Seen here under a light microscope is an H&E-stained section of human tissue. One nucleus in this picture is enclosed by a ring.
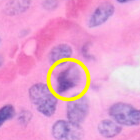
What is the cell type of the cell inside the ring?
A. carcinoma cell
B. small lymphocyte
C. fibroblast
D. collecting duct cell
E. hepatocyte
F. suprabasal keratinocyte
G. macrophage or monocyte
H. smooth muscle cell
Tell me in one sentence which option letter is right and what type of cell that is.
Right answer, option D: the cell inside the ring is a collecting duct cell.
